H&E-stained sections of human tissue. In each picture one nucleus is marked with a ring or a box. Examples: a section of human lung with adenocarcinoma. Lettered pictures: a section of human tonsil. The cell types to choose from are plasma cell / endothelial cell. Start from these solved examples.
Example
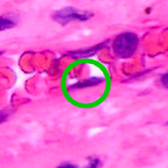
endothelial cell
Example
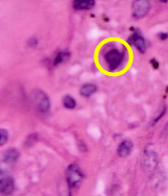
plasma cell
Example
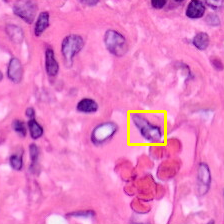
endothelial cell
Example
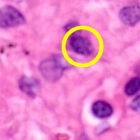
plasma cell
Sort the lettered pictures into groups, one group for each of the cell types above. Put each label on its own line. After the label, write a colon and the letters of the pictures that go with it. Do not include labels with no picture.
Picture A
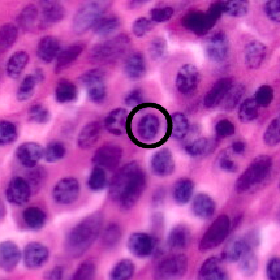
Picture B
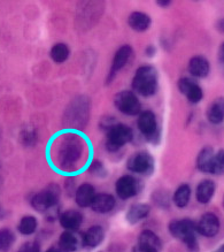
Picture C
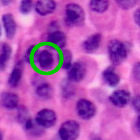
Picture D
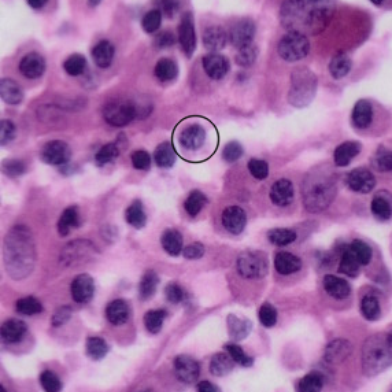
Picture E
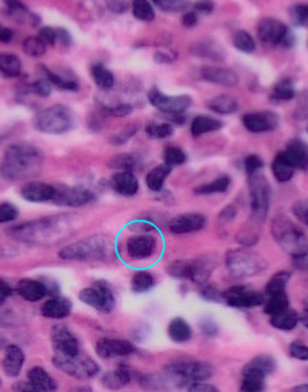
plasma cell: A, C, D
endothelial cell: B, E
